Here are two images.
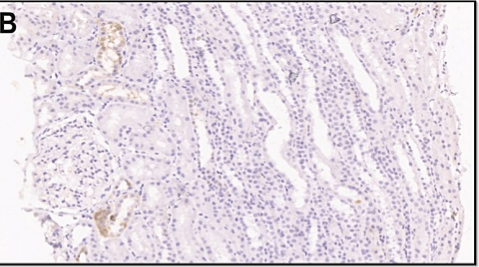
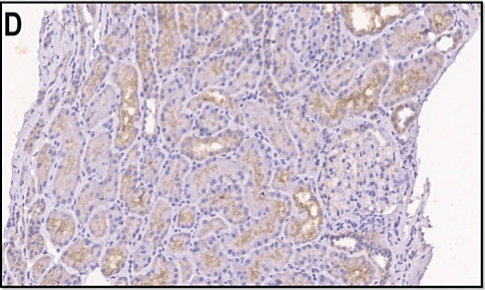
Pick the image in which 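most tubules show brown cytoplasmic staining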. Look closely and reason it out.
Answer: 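The second image. First image: tubules are mostly pale with only a few small brown foci. Second image: many tubules throughout the field show brown cytoplasm.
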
